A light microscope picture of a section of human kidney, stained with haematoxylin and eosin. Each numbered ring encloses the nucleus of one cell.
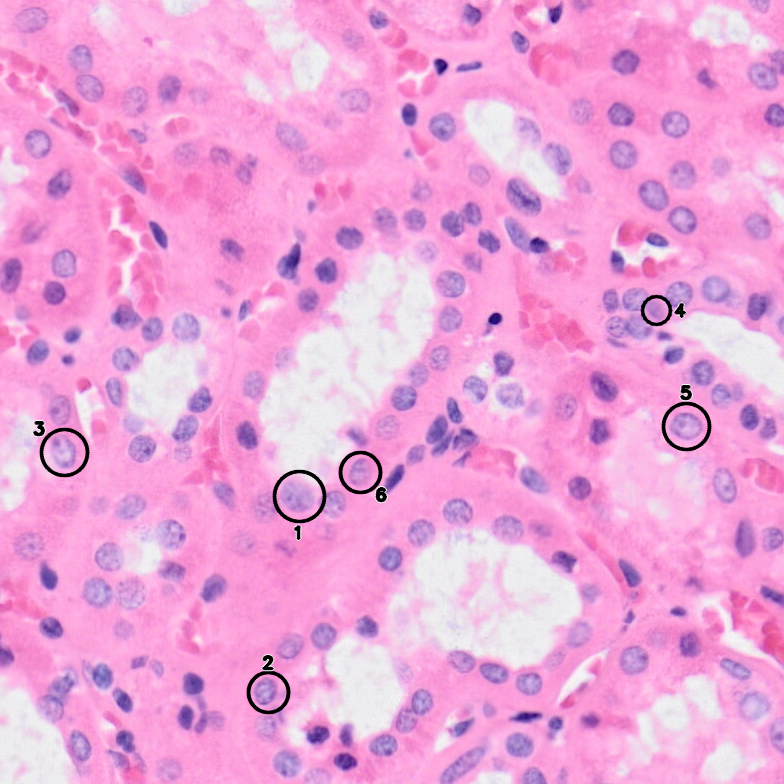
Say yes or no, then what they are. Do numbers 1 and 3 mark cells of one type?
No, cell 1 is a loop of Henle or distal tubule cell and cell 3 is a proximal tubule cell.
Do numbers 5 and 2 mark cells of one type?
No, cell 5 is a proximal tubule cell and cell 2 is a loop of Henle or distal tubule cell.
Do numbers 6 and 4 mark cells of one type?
No, cell 6 is a loop of Henle or distal tubule cell and cell 4 is a collecting duct cell.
